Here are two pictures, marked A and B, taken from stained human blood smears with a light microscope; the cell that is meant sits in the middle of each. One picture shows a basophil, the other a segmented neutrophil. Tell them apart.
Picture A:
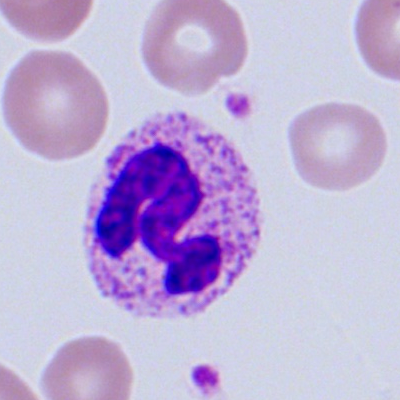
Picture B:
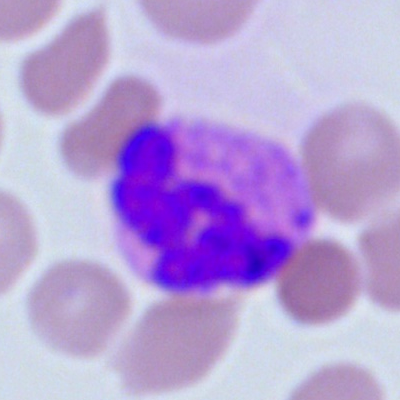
A: segmented neutrophil
B: basophil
